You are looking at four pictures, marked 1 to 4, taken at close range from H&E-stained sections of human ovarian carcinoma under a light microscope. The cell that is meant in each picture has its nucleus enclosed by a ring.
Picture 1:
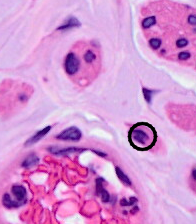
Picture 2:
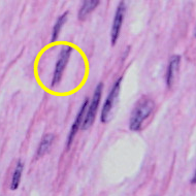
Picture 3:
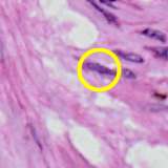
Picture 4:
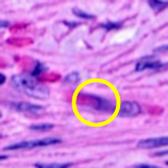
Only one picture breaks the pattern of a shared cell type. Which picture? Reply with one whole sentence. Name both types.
Unlike the rest, which show fibroblasts, picture 1 shows a smooth muscle cell.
